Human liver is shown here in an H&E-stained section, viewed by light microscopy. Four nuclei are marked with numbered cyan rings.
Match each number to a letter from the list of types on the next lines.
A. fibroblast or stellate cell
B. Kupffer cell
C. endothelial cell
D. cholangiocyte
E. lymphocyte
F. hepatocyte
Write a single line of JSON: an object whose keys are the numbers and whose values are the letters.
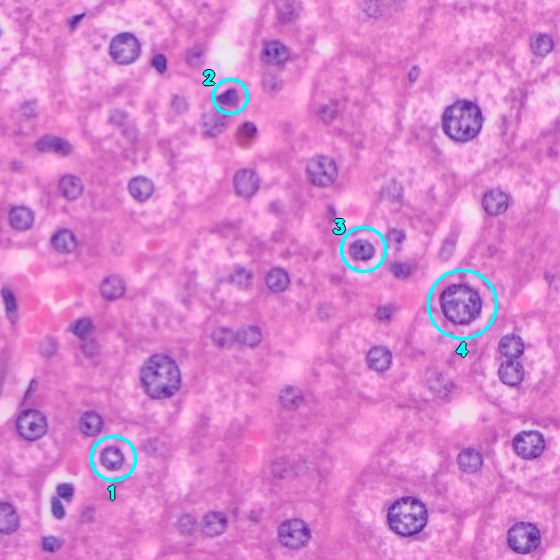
{"1": "F", "2": "A", "3": "F", "4": "F"}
